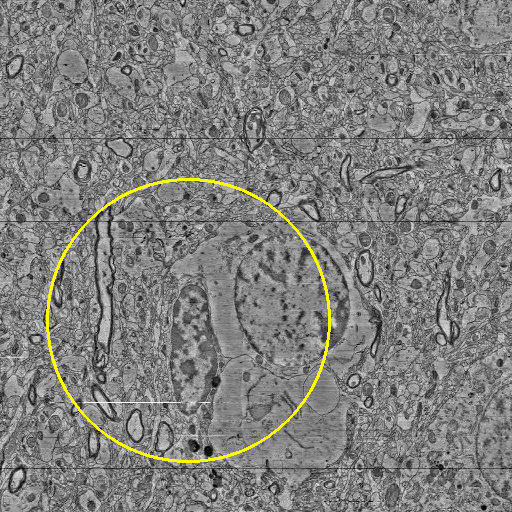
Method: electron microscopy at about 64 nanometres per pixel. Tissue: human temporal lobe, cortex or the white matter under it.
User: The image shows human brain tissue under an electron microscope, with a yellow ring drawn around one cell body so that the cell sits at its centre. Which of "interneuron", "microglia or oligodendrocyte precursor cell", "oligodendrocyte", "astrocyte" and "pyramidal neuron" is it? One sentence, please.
At the centre of the ring sits a microglial cell or oligodendrocyte precursor cell.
